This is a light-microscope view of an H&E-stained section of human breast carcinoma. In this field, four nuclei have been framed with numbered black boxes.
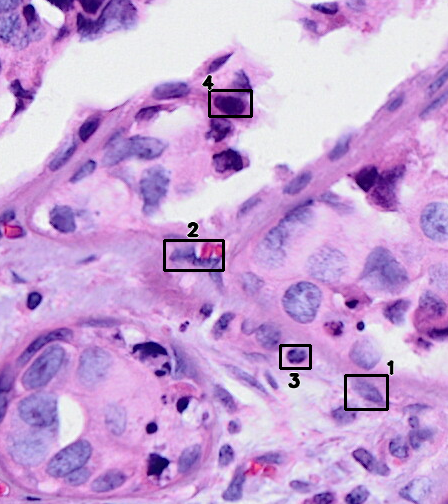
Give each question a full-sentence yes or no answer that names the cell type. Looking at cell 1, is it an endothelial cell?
Yes, cell 1 is an endothelial cell in this tissue section.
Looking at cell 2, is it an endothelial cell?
Yes, the cell that has number 2 is an endothelial cell.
